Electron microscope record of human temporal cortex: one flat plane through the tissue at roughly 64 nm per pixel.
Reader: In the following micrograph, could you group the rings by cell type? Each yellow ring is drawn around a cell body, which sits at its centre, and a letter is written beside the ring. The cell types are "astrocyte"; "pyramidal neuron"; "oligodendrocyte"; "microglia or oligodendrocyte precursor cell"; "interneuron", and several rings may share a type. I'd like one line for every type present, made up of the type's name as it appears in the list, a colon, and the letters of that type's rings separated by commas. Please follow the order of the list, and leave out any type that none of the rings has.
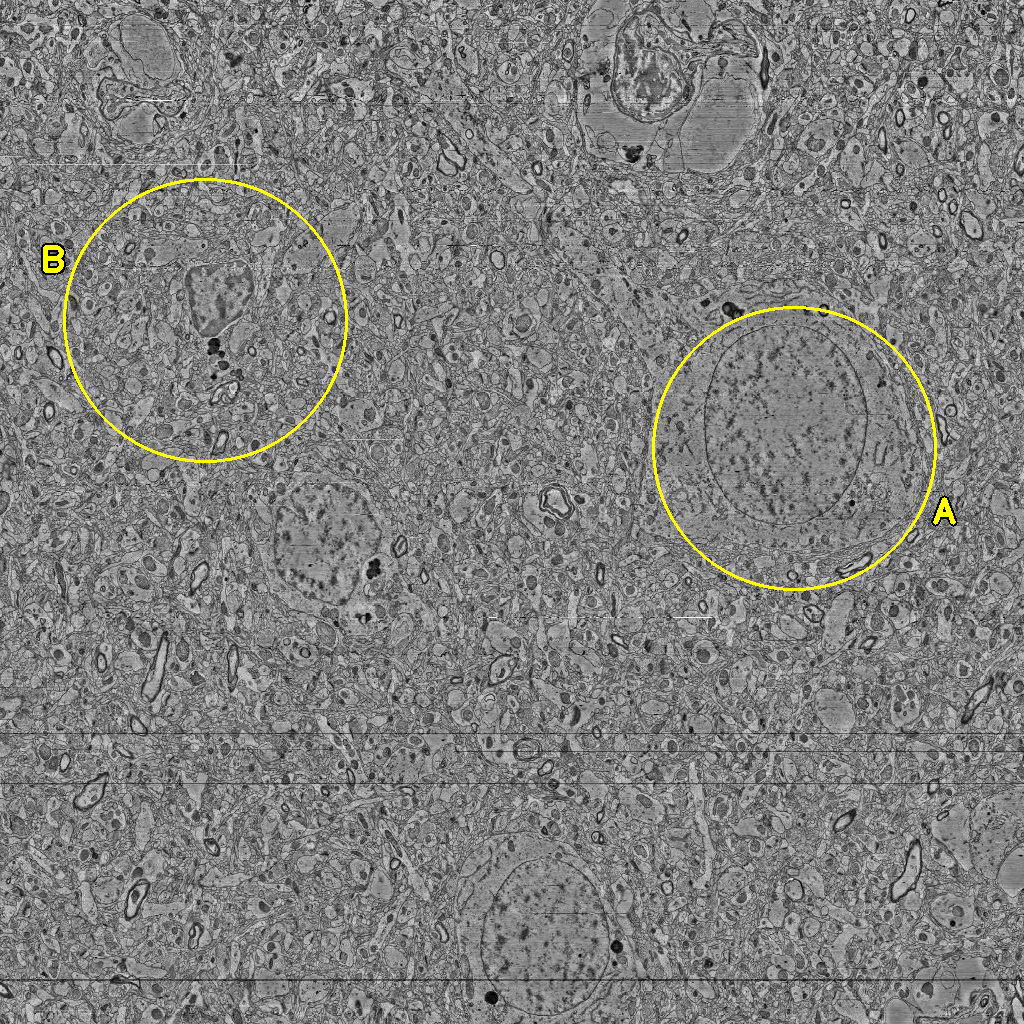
pyramidal neuron: A
microglia or oligodendrocyte precursor cell: B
